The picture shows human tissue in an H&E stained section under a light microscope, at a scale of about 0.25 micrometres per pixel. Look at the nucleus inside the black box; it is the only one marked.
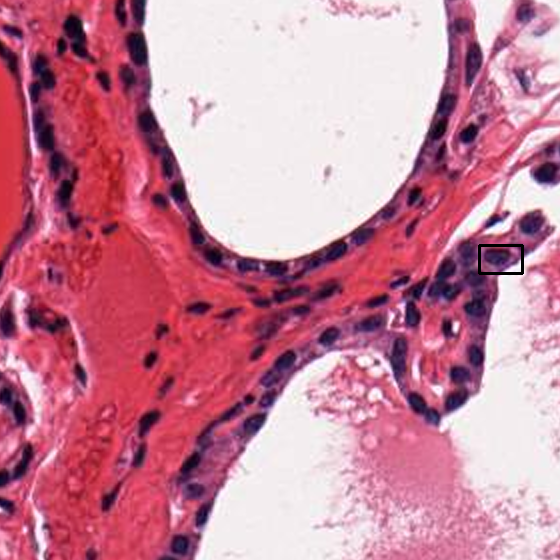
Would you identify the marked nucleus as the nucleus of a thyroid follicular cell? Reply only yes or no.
yes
